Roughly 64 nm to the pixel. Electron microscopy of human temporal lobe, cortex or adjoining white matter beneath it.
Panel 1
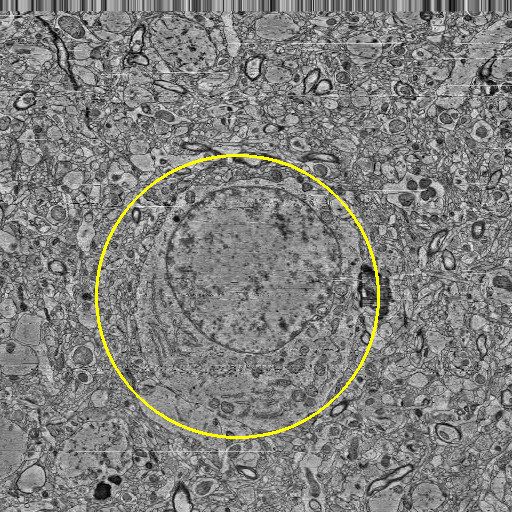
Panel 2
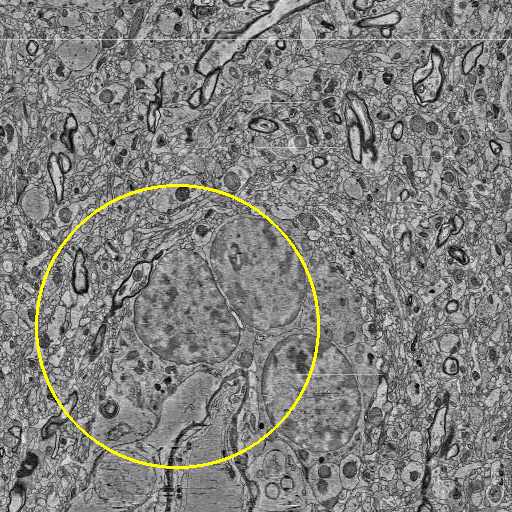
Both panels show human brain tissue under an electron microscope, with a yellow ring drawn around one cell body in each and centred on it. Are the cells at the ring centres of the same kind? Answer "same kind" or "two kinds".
two kinds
